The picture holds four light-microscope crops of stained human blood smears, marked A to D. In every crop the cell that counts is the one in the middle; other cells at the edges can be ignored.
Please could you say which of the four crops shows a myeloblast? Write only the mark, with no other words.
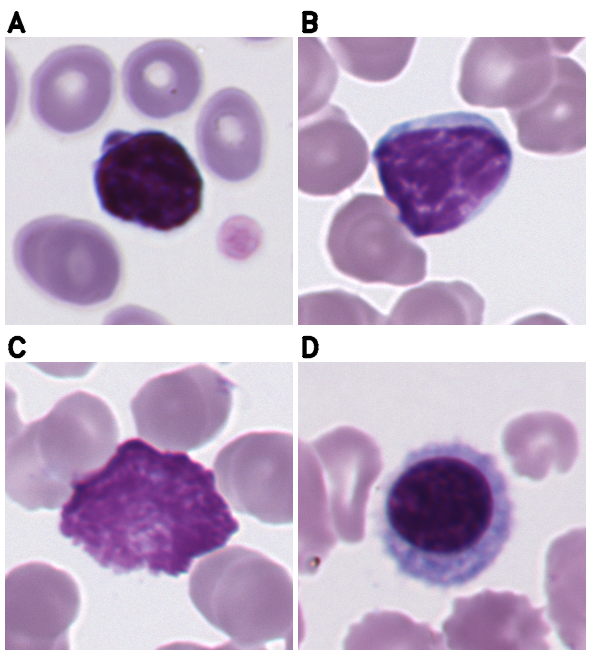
A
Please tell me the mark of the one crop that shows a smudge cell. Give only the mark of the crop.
C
